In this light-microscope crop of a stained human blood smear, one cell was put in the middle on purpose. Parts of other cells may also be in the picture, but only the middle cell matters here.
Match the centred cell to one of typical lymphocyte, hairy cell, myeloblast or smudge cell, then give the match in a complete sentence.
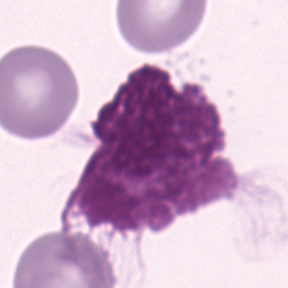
The middle cell in this particular crop is a smudge cell.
